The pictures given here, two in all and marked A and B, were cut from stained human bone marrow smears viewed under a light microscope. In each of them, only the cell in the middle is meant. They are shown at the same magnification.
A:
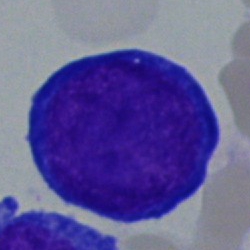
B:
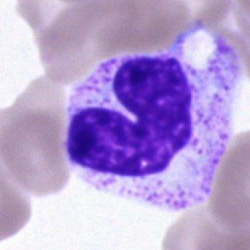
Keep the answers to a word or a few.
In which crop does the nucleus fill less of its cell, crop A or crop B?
B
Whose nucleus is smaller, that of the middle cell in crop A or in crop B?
B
